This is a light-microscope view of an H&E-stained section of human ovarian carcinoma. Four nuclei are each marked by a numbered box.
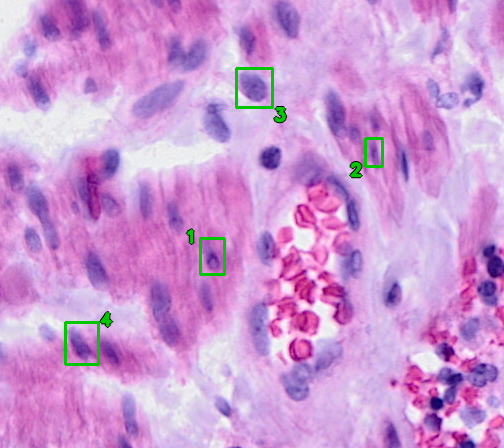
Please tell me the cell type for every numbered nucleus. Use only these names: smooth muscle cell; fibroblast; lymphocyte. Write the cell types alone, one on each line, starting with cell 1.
smooth muscle cell
smooth muscle cell
fibroblast
smooth muscle cell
